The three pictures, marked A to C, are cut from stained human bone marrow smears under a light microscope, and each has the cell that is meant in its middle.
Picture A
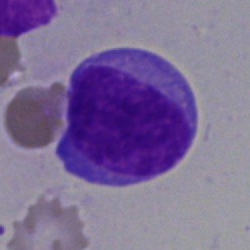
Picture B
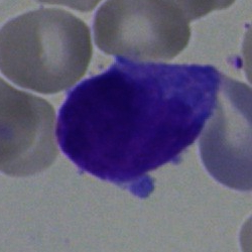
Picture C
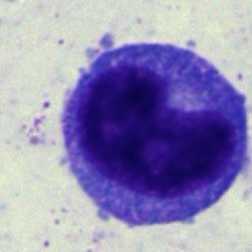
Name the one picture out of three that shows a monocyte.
C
